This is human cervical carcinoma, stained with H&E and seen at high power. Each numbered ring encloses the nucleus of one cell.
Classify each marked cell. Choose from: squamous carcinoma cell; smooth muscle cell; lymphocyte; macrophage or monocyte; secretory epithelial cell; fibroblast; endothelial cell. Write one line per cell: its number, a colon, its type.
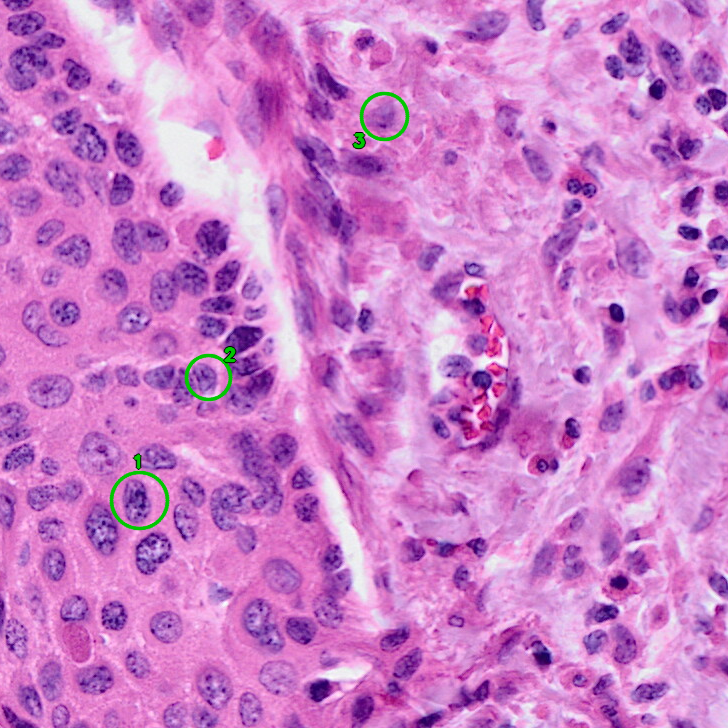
1: squamous carcinoma cell
2: squamous carcinoma cell
3: fibroblast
